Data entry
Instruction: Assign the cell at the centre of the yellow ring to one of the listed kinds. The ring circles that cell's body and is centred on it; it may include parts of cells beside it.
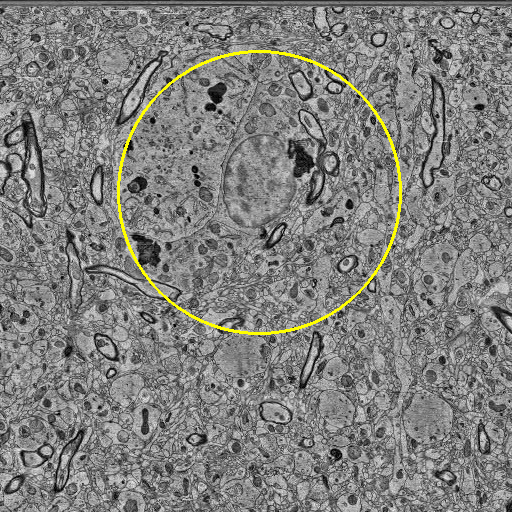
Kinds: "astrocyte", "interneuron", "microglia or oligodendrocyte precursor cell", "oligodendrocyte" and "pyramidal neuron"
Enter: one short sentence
The centre of the ring falls on an oligodendrocyte.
